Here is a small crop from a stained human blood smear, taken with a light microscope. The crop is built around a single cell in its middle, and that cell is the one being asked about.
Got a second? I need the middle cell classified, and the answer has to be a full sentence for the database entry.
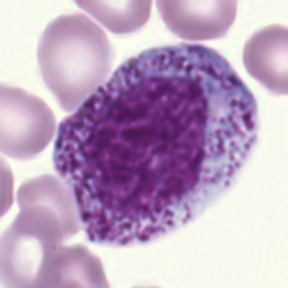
At the middle of the frame sits a promyelocyte.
